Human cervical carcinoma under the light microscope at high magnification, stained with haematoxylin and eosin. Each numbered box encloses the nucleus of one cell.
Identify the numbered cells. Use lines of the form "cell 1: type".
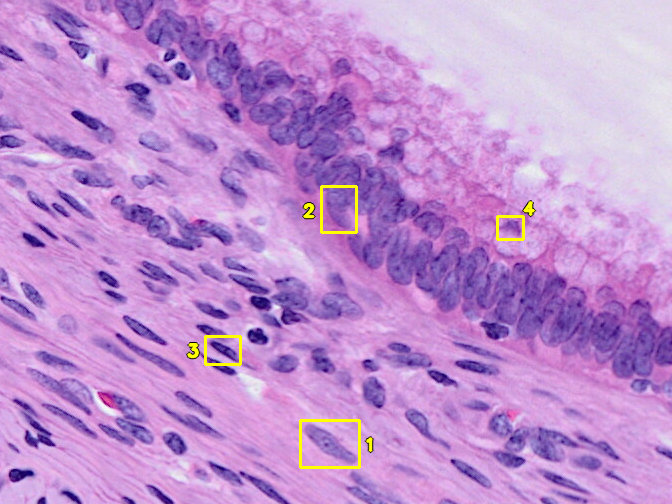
cell 1: fibroblast
cell 2: secretory epithelial cell
cell 3: fibroblast
cell 4: secretory epithelial cell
